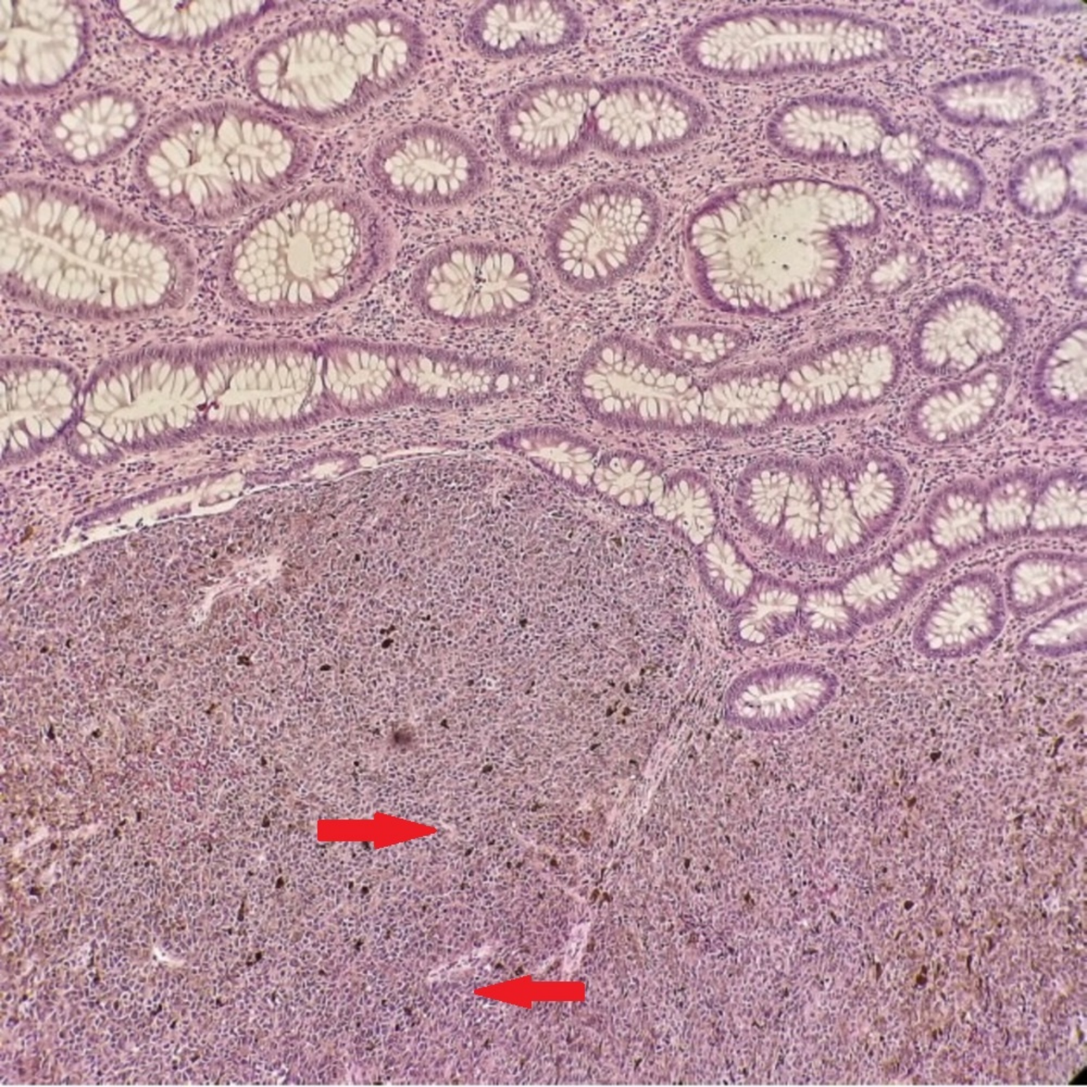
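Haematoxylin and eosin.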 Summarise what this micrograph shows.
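The section shows colonic mucosa with a tumor beneath it. In the upper half, the crypts are cut mostly in cross-section. They are lined by columnar epithelium packed with pale goblet cells and are separated by lamina propria containing scattered small cells. The lower half is filled by a dense, gland-free sheet of tumor cells that abuts the base of the crypts. Dark brown pigment granules are scattered throughout this tumor sheet. A few thin pale strands of stroma or vessels run through the sheet.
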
